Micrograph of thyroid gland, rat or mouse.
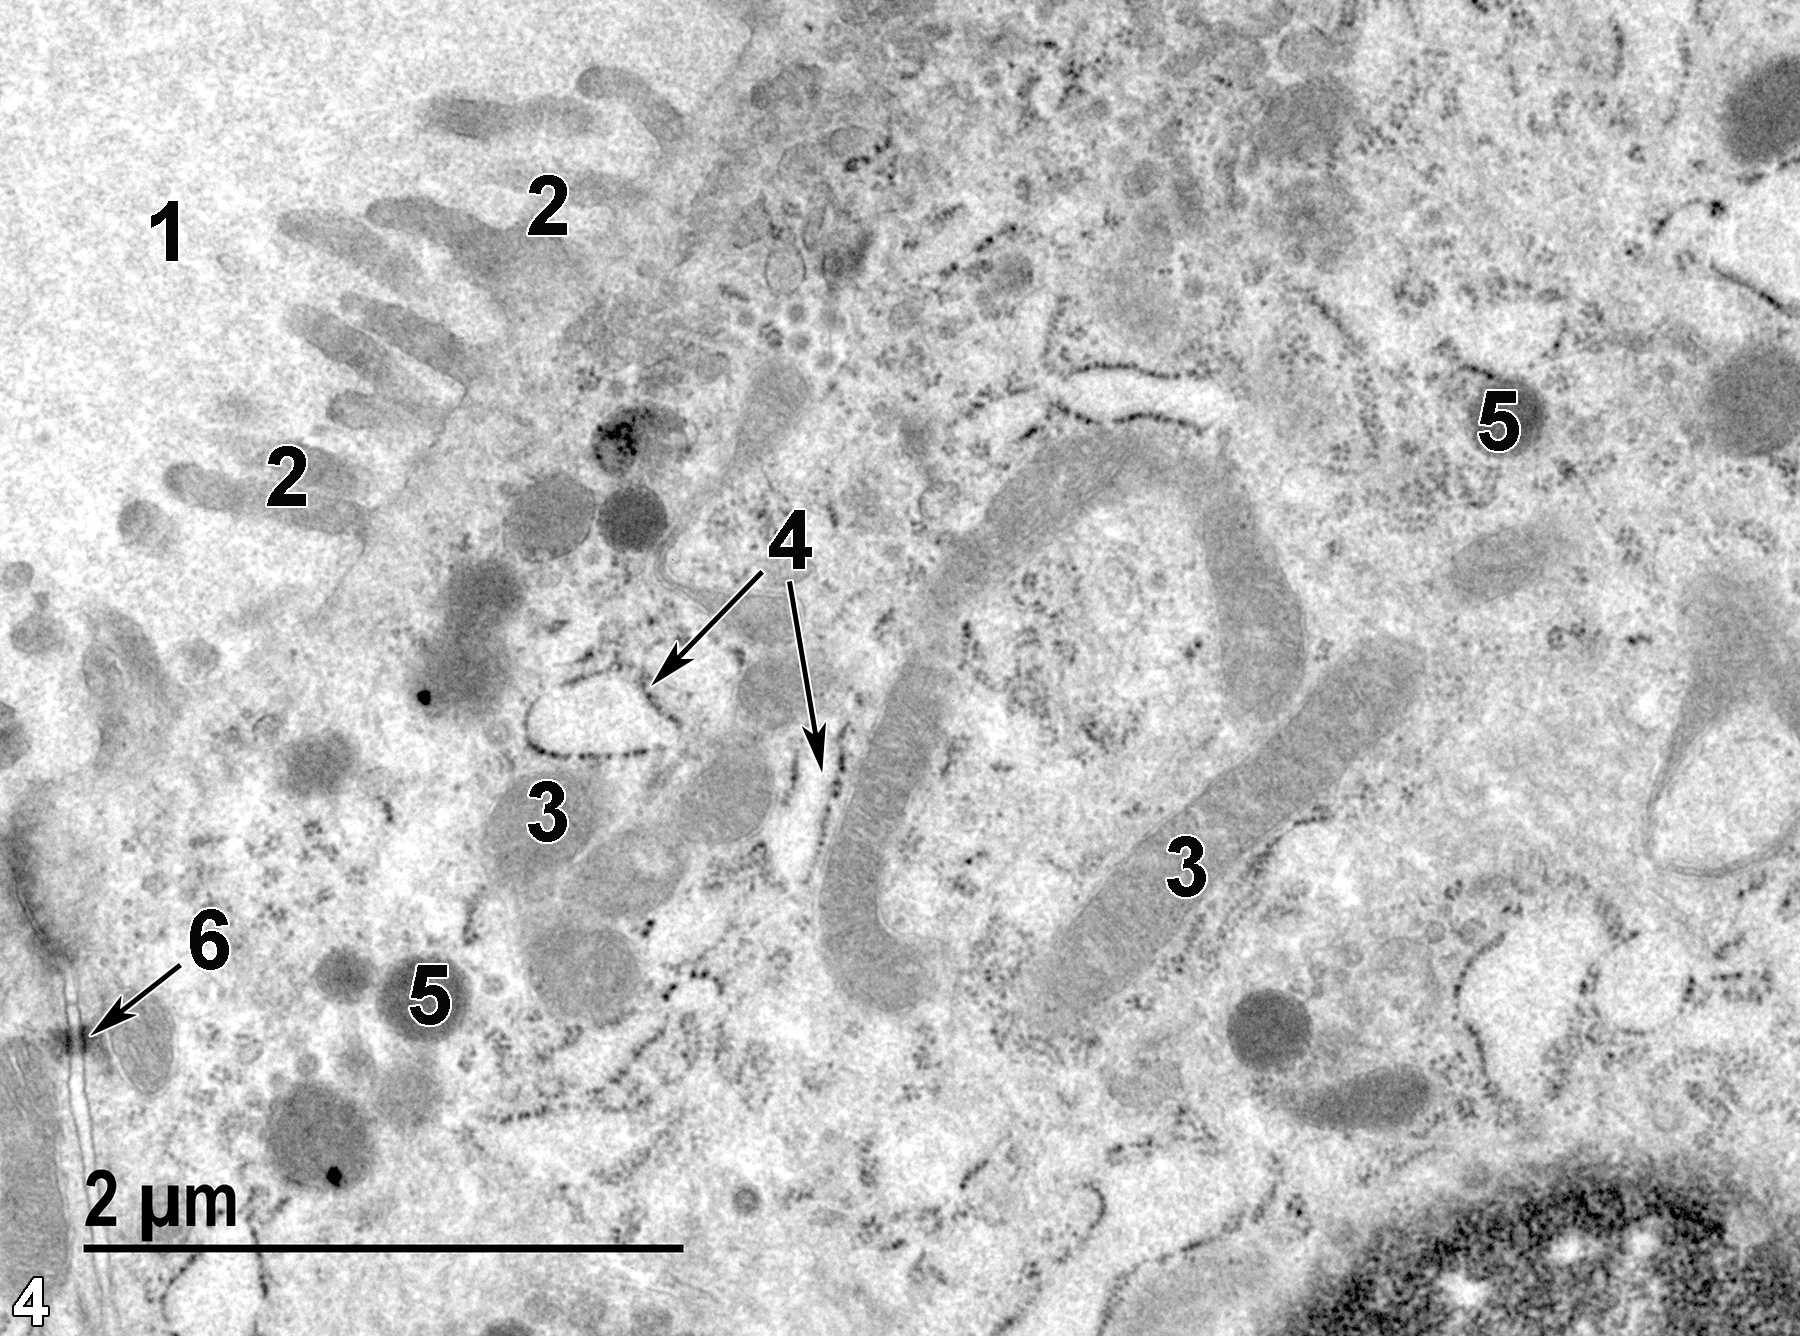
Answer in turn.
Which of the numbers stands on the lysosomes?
5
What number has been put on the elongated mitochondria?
3.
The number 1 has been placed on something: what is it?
1 marks the follicular lumen.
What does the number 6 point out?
The number 6 marks the desmosome.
